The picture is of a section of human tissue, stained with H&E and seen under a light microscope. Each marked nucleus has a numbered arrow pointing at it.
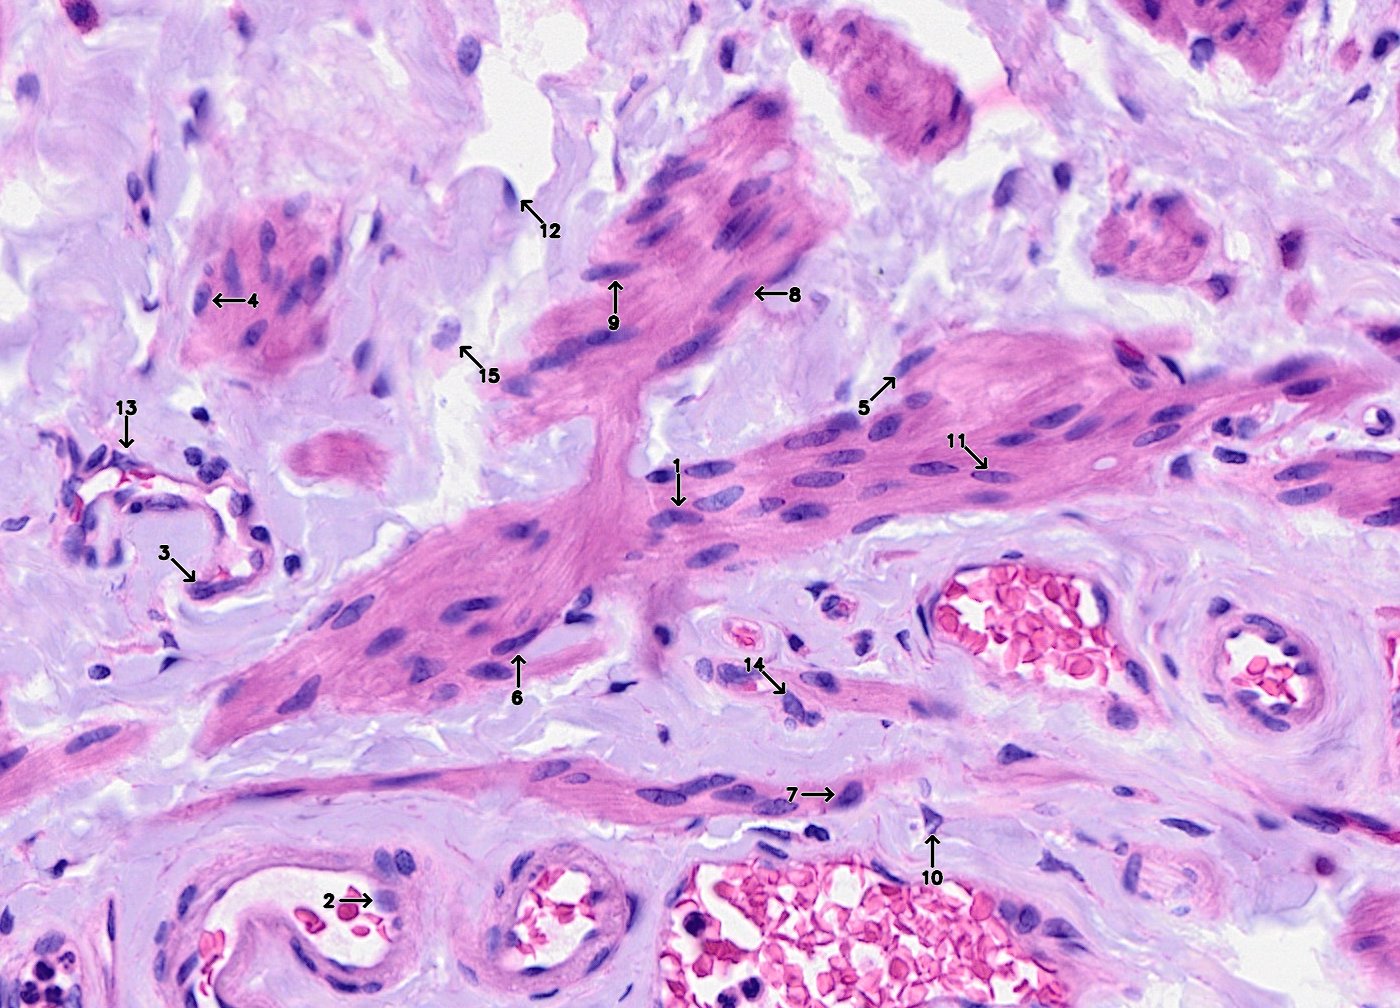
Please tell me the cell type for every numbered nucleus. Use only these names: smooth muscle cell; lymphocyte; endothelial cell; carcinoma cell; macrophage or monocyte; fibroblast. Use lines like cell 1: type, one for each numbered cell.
cell 1: smooth muscle cell
cell 2: endothelial cell
cell 3: endothelial cell
cell 4: smooth muscle cell
cell 5: smooth muscle cell
cell 6: smooth muscle cell
cell 7: smooth muscle cell
cell 8: smooth muscle cell
cell 9: smooth muscle cell
cell 10: fibroblast
cell 11: smooth muscle cell
cell 12: endothelial cell
cell 13: endothelial cell
cell 14: endothelial cell
cell 15: fibroblast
